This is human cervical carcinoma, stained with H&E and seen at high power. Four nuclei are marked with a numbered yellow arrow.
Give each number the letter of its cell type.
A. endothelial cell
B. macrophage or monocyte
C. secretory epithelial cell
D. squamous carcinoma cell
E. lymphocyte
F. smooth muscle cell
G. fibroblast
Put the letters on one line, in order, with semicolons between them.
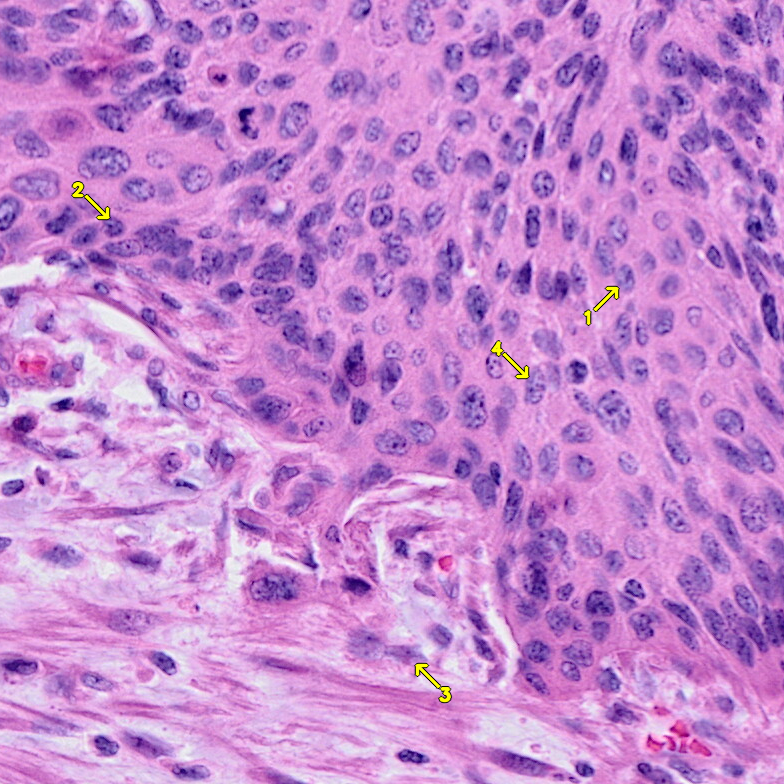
D; D; G; D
